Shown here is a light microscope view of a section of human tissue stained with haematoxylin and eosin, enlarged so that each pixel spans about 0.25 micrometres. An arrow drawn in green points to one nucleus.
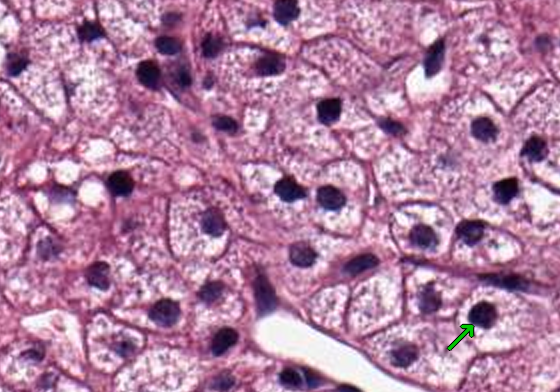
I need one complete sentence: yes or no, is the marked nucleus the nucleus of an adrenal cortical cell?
Yes, the nucleus picked out by the mark belongs to an adrenal cortical cell.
